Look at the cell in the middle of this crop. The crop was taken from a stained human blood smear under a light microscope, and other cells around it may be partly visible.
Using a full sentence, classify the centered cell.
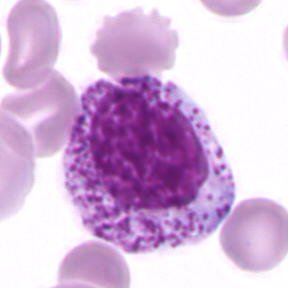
Present in the middle of the crop is a myelocyte.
